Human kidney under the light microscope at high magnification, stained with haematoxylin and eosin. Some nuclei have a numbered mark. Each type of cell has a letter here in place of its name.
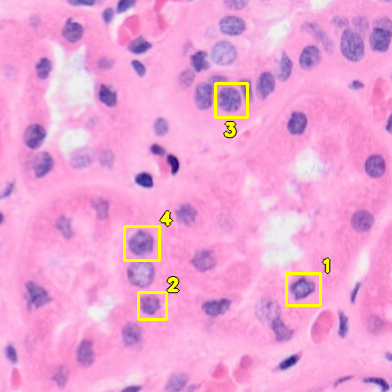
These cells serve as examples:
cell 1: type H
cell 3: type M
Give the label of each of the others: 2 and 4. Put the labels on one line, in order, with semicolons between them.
type H; type H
